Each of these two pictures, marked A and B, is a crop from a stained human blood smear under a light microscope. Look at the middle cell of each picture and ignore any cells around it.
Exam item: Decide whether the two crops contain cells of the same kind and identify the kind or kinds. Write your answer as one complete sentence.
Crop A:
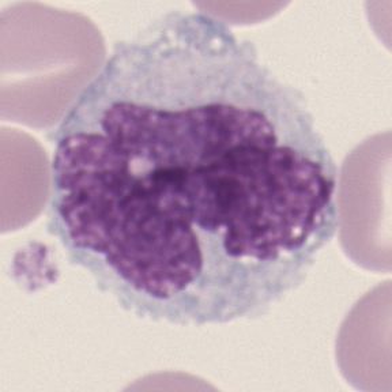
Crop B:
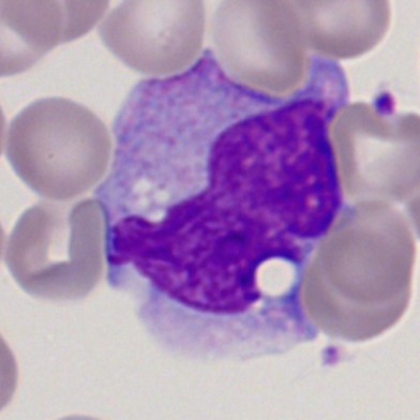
Yes, in the middle of both crops, monocytes are shown.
